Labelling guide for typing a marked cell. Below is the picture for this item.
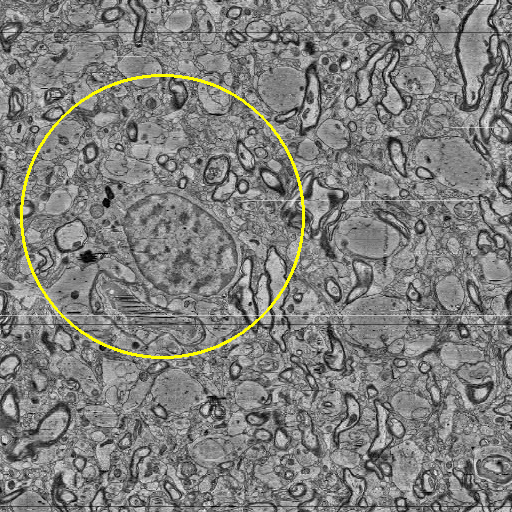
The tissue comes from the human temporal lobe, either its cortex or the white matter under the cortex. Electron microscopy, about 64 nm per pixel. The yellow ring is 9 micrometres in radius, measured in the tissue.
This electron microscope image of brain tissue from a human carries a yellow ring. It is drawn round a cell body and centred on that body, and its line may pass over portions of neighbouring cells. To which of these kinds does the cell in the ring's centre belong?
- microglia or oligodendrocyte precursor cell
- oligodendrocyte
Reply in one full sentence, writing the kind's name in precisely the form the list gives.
Here we have an oligodendrocyte at the centre of the yellow ring in the picture.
